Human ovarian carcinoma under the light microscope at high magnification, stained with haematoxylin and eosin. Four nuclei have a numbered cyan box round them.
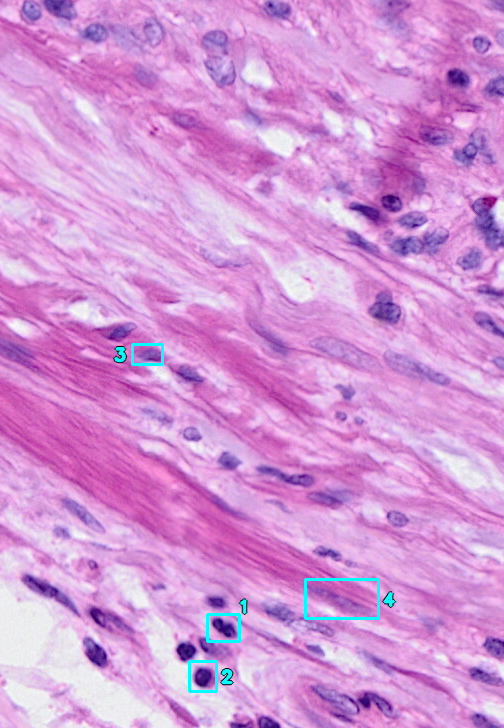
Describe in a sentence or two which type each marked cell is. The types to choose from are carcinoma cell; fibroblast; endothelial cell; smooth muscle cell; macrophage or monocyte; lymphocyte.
Cells 1 and 2 are lymphocytes. Cells 3 and 4 are smooth muscle cells.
